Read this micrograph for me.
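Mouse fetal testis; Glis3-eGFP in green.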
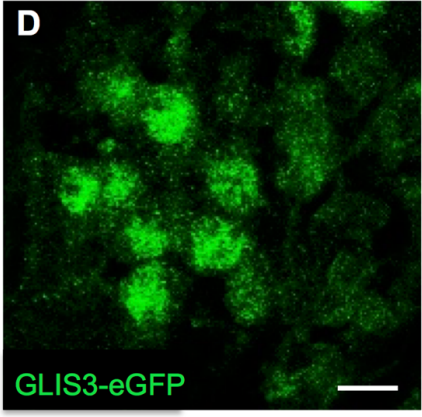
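A group of large, round cells shows granular green fluorescence filling their rounded bodies, packed close together. Between them lies only faint, diffuse green background without distinct cell outlines.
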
